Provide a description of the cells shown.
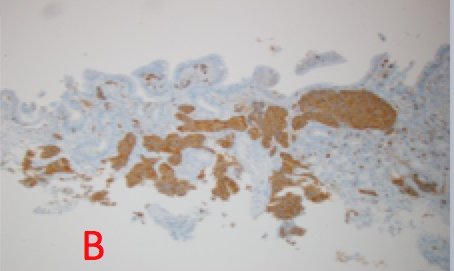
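This is a fragment of mucosa. Its surface is made of pale blue, unstained glands and pits lined by columnar epithelium. Below this lining, many nests and cords of cells stain evenly brown throughout their cytoplasm. They fill much of the stroma between and beneath the glands, and a large oval nest lies near the surface on the right. A few isolated brown cells are scattered within the surface folds. The contrast between the unstained epithelium and the strongly stained nests outlines a population of cells that grows in solid groups within the stroma.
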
